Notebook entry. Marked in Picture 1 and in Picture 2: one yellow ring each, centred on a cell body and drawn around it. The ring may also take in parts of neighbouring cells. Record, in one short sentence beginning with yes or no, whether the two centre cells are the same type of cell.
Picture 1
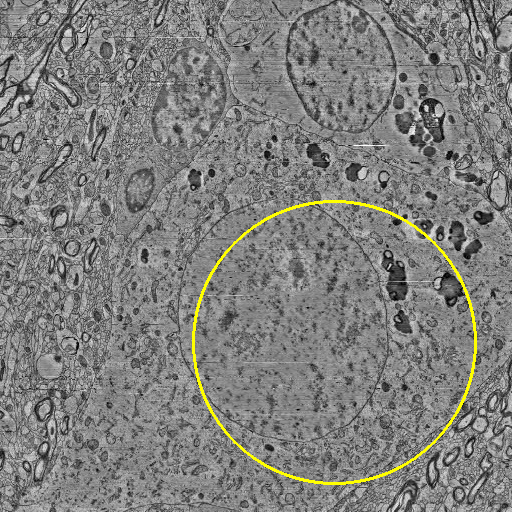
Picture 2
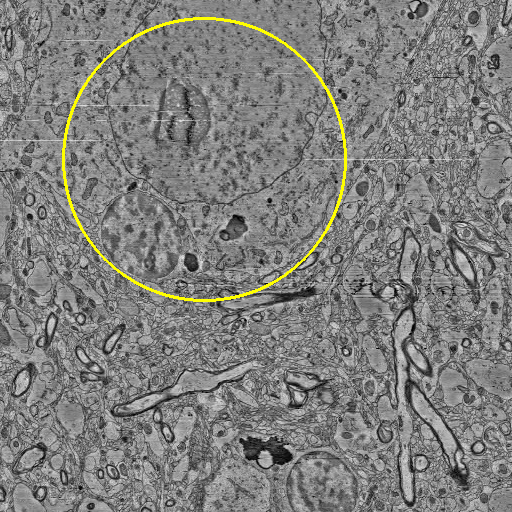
Yes, both are the same type of cell.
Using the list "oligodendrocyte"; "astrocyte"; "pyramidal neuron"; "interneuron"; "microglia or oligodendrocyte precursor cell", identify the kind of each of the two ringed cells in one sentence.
The first and the second cell are each a pyramidal neuron.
